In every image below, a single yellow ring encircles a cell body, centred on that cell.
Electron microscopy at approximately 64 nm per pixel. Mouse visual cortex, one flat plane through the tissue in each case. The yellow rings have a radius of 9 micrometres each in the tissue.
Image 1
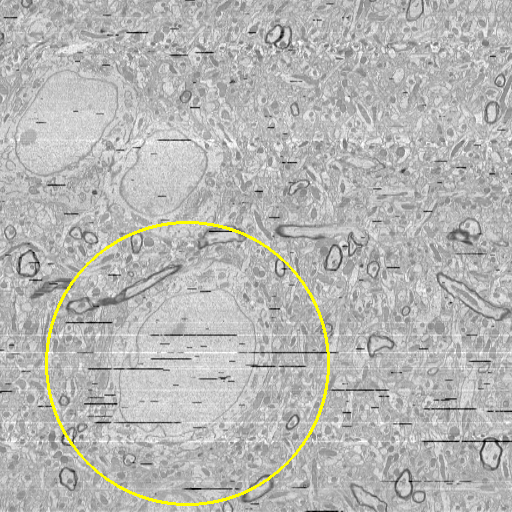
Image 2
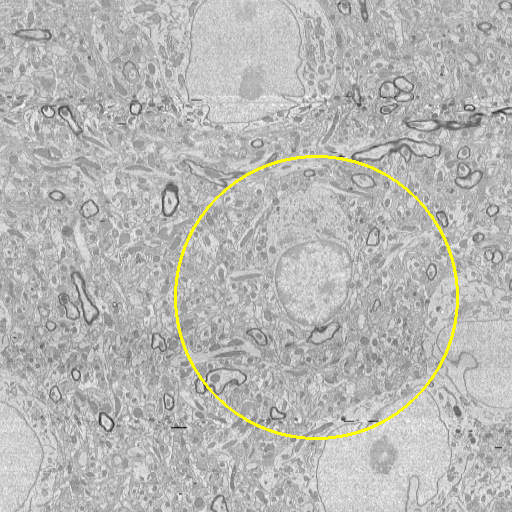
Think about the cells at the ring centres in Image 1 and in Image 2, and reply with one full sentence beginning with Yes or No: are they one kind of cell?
No, the cells centred in the rings of Image 1 and Image 2 are two kinds of cell.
